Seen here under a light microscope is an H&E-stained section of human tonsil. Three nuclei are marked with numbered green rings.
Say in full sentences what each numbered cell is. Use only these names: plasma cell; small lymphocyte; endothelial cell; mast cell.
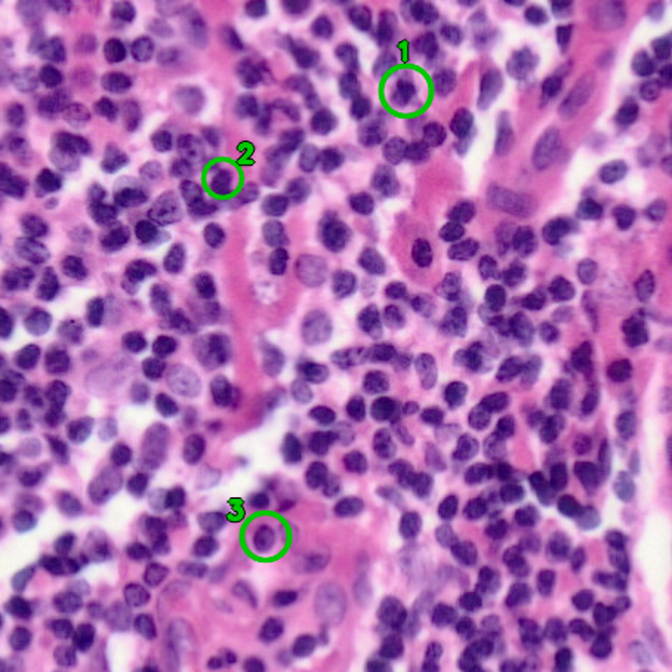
Cell 1 is a small lymphocyte, cell 2 is a small lymphocyte and cell 3 is an endothelial cell.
